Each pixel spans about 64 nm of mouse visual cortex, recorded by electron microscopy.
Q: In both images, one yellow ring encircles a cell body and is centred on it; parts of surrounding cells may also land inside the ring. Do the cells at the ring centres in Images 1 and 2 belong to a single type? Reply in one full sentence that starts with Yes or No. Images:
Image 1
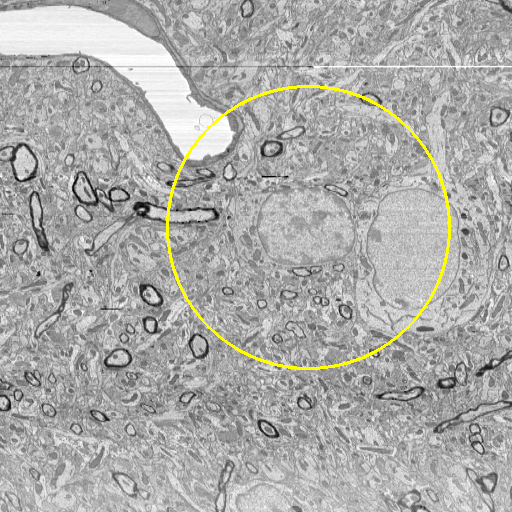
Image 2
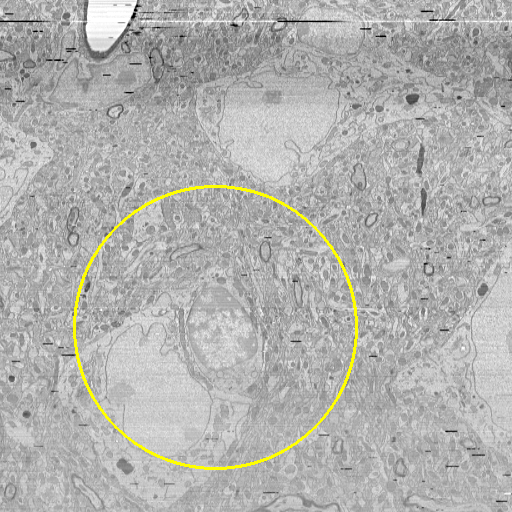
Yes, the cells at the ring centres in Images 1 and 2 are of a single type.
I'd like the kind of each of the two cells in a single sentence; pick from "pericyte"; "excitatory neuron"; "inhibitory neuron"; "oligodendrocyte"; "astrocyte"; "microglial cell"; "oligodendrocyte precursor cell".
In the first picture and in the second, the ring is centred on an oligodendrocyte.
